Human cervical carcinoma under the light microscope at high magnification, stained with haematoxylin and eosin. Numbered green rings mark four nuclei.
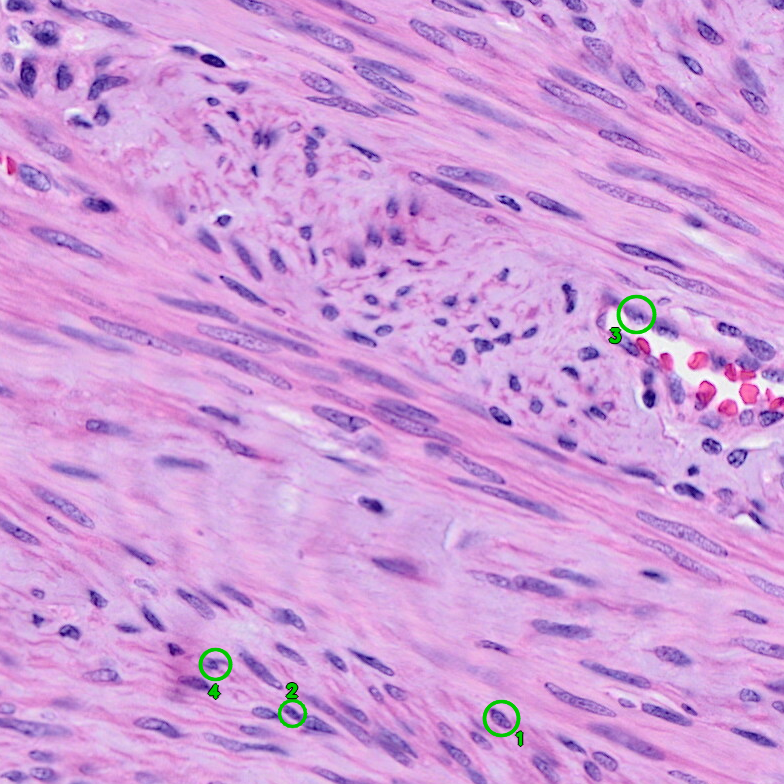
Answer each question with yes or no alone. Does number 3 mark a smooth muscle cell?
no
